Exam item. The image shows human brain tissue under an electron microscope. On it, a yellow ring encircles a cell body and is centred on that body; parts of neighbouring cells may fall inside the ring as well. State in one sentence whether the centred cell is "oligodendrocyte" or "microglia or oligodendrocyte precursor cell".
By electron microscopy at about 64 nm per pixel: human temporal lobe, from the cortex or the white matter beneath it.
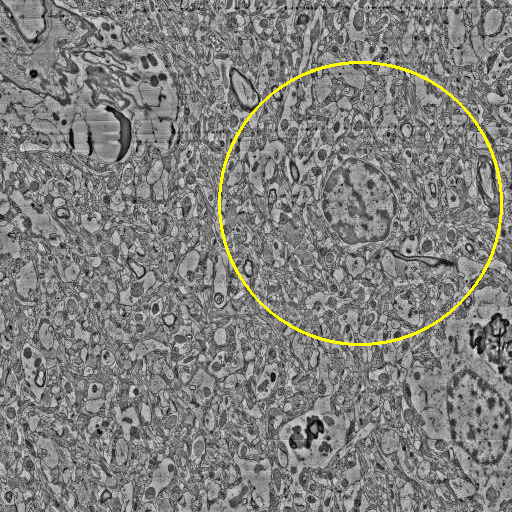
The cell body centred in the ring is a microglial cell or oligodendrocyte precursor cell.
